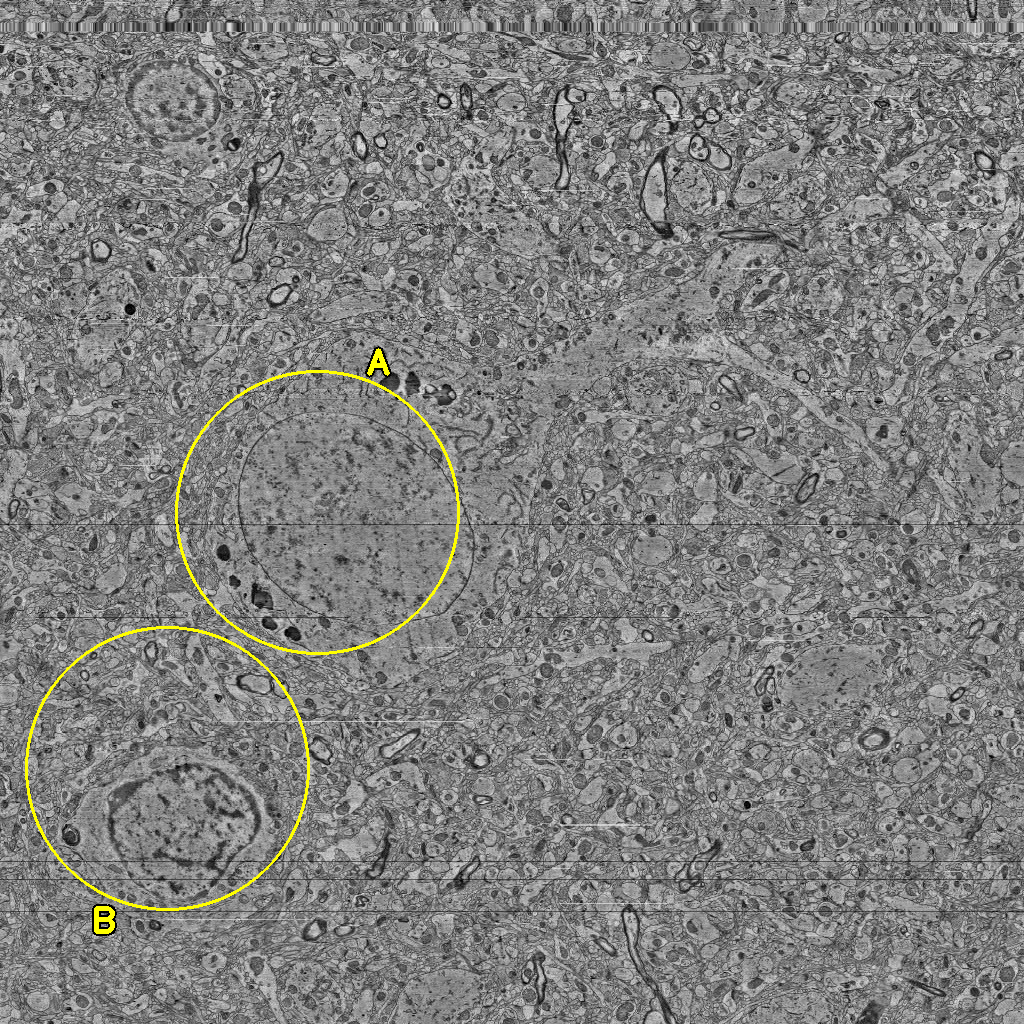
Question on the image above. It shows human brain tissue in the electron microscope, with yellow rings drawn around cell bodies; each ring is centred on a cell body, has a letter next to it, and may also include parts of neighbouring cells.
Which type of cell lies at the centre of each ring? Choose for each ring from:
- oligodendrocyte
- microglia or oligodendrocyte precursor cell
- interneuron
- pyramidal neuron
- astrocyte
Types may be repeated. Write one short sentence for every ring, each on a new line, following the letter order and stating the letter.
Ring A has been drawn around a pyramidal neuron.
Ring B has been drawn around a microglial cell or oligodendrocyte precursor cell.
